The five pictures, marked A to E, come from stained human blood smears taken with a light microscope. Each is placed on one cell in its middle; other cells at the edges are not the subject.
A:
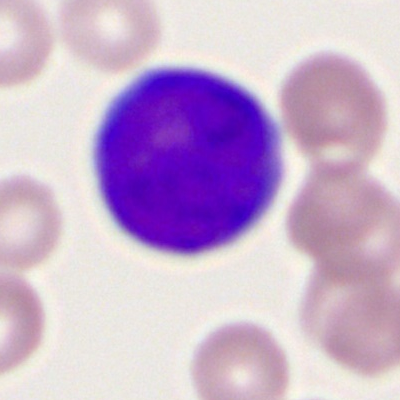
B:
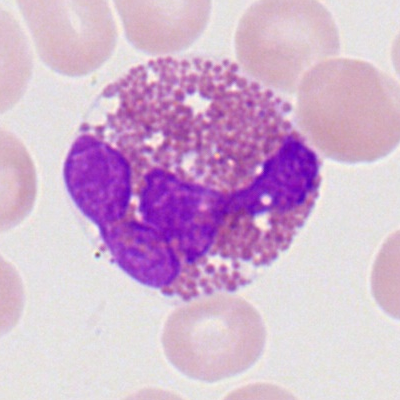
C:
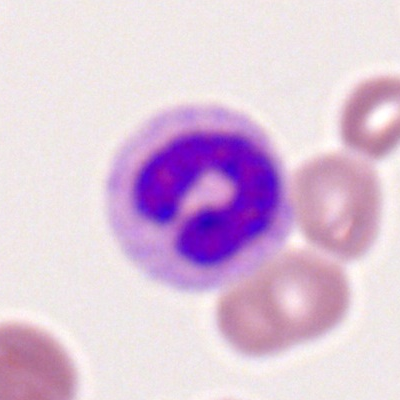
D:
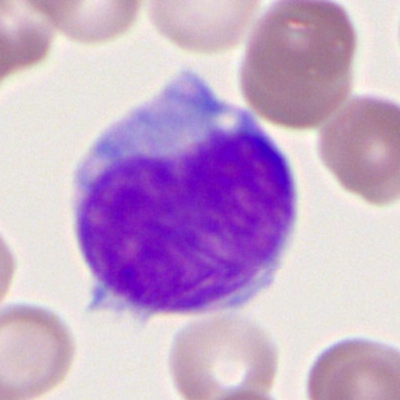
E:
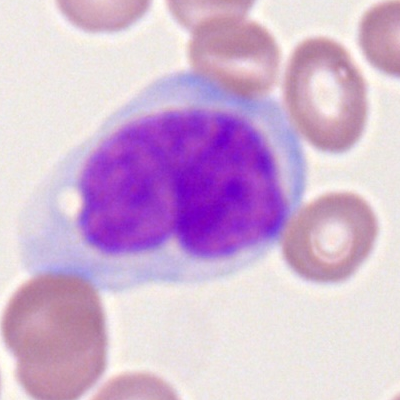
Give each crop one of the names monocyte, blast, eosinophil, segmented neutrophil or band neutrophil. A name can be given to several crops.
A: blast
B: eosinophil
C: band neutrophil
D: blast
E: monocyte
